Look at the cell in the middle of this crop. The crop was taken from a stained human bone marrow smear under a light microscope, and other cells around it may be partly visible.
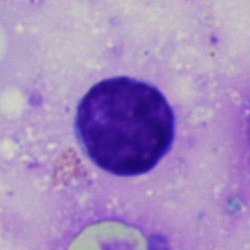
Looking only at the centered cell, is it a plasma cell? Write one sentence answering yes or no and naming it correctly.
No, the cell found centrally in the crop is a lymphocyte, not a plasma cell.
